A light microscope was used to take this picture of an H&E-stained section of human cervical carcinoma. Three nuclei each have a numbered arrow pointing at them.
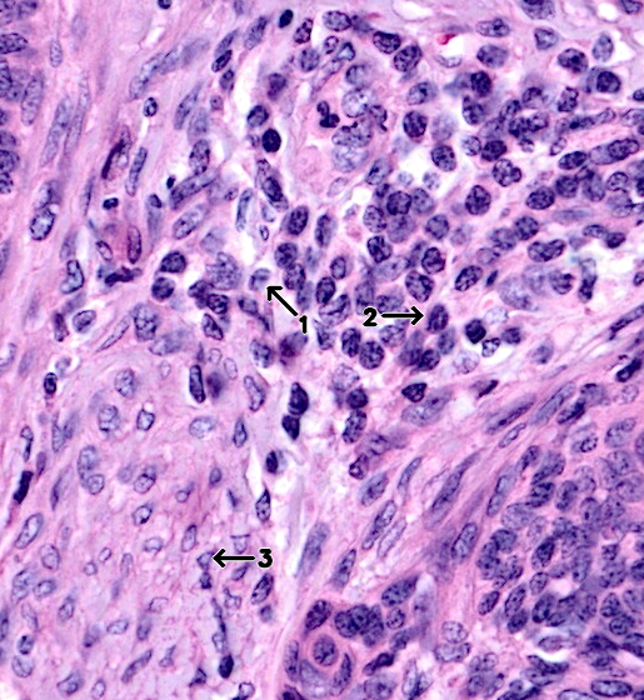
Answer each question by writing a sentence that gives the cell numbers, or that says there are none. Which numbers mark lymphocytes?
The cells with labels 1 and 2 are lymphocytes.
